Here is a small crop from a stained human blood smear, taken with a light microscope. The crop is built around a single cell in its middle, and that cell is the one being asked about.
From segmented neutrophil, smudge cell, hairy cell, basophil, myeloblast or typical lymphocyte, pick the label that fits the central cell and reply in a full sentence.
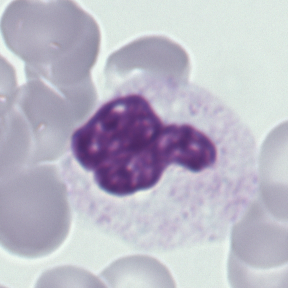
The cell nearest the centre of this crop is a segmented neutrophil.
